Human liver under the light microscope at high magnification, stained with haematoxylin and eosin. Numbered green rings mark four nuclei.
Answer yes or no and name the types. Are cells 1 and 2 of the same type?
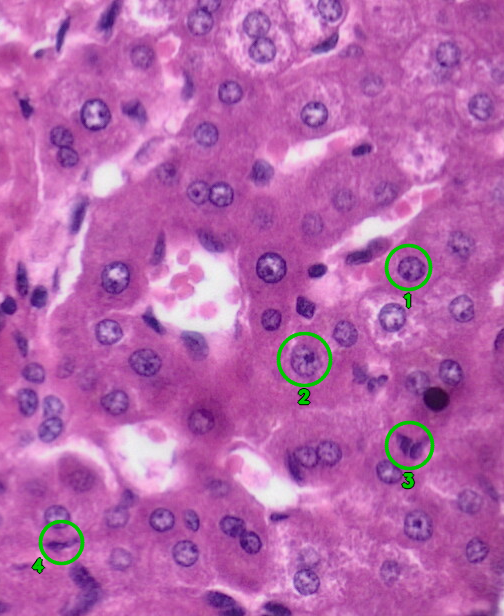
Yes, both of the cells numbered 1 and 2 are hepatocytes.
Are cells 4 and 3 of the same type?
Yes, cells 4 and 3 are both termed fibroblasts or stellate cells.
